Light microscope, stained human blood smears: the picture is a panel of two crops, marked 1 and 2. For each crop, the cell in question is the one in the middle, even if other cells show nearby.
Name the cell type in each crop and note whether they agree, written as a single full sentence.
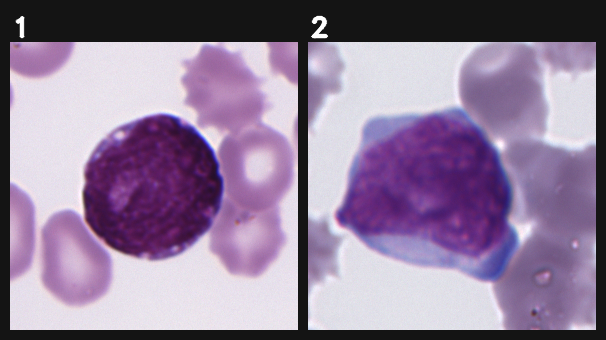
Yes, both crops show myeloblasts as the central cells.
